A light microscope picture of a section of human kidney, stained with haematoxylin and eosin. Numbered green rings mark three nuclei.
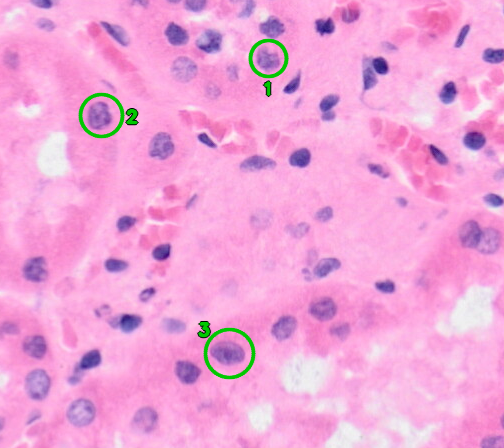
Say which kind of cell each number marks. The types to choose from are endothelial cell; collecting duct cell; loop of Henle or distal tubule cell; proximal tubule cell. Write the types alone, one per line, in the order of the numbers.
loop of Henle or distal tubule cell
proximal tubule cell
proximal tubule cell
